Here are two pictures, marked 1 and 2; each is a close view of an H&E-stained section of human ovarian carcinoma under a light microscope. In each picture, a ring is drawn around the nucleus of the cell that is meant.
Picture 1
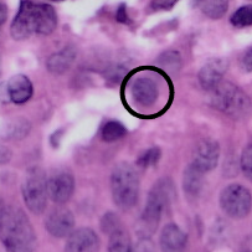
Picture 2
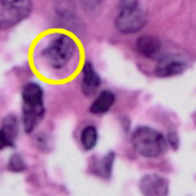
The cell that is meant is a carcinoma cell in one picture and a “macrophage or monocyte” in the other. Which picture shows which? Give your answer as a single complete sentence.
Picture 1 is of a carcinoma cell, and picture 2 is of a “macrophage or monocyte”.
